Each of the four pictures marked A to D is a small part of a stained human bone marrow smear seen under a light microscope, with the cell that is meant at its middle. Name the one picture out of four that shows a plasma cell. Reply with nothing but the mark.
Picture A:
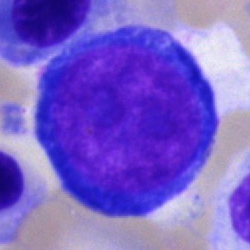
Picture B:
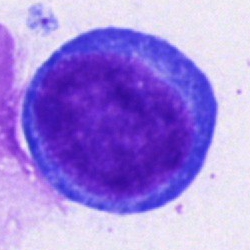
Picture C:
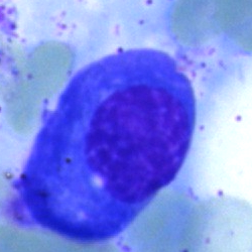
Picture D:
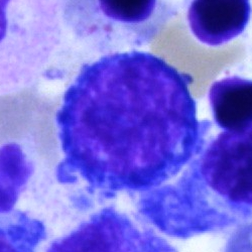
C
